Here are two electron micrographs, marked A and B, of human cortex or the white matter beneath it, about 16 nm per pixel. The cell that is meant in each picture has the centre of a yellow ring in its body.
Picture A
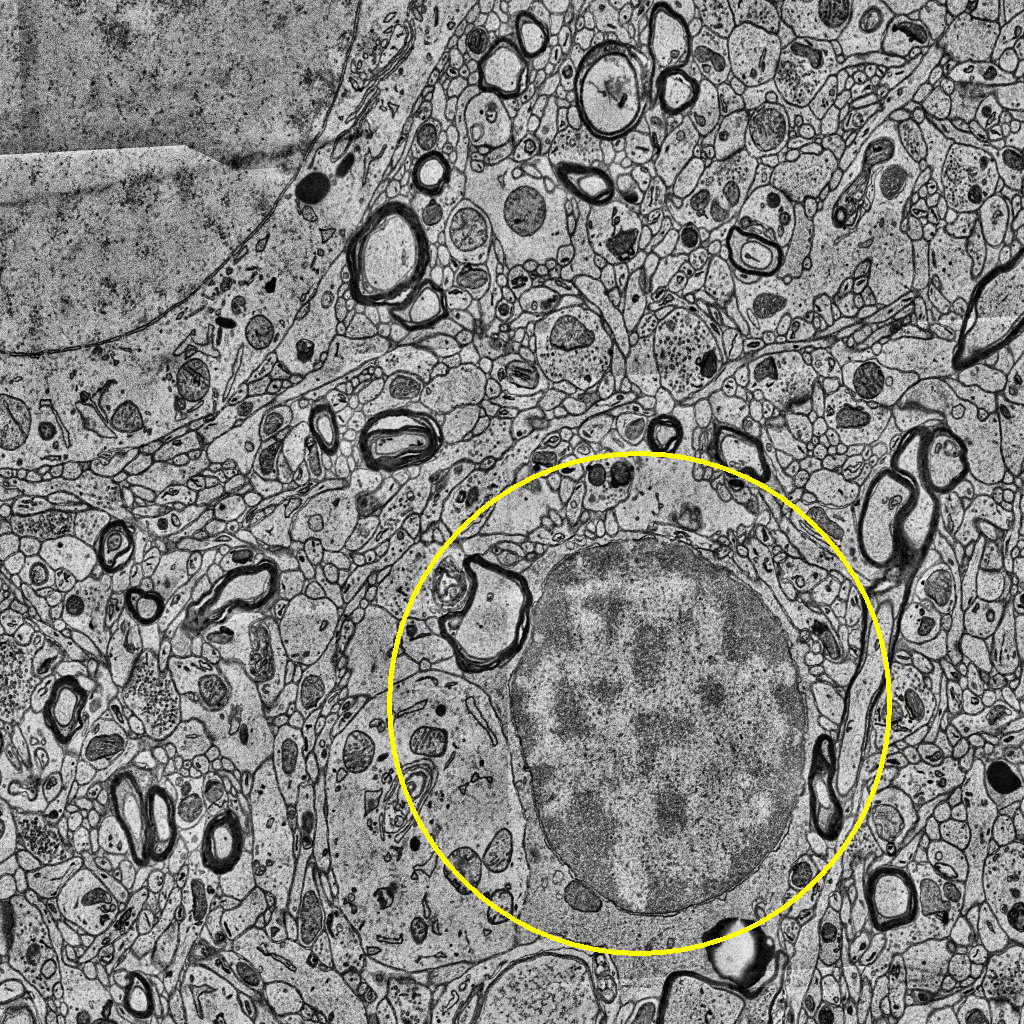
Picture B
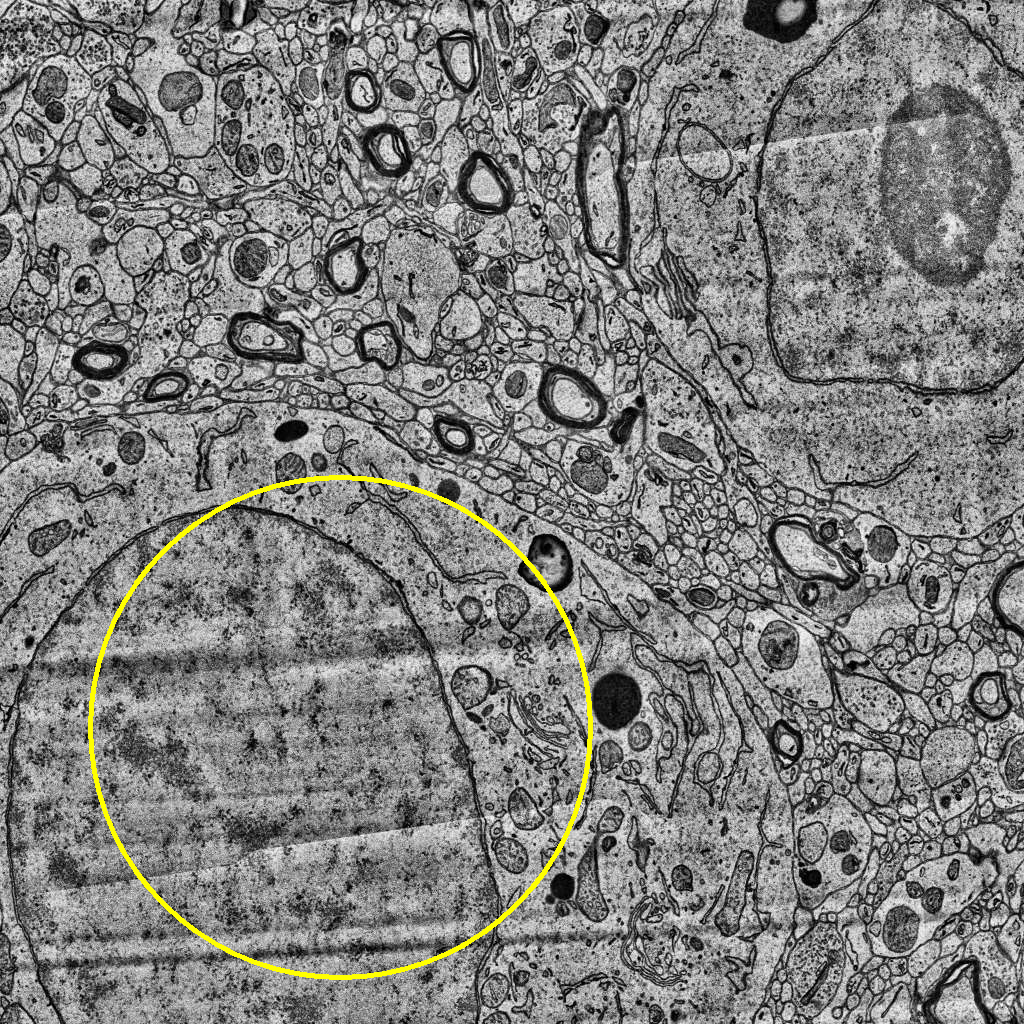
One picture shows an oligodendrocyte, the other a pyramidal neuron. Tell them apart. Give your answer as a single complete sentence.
Picture B shows a pyramidal neuron, while picture A shows an oligodendrocyte.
